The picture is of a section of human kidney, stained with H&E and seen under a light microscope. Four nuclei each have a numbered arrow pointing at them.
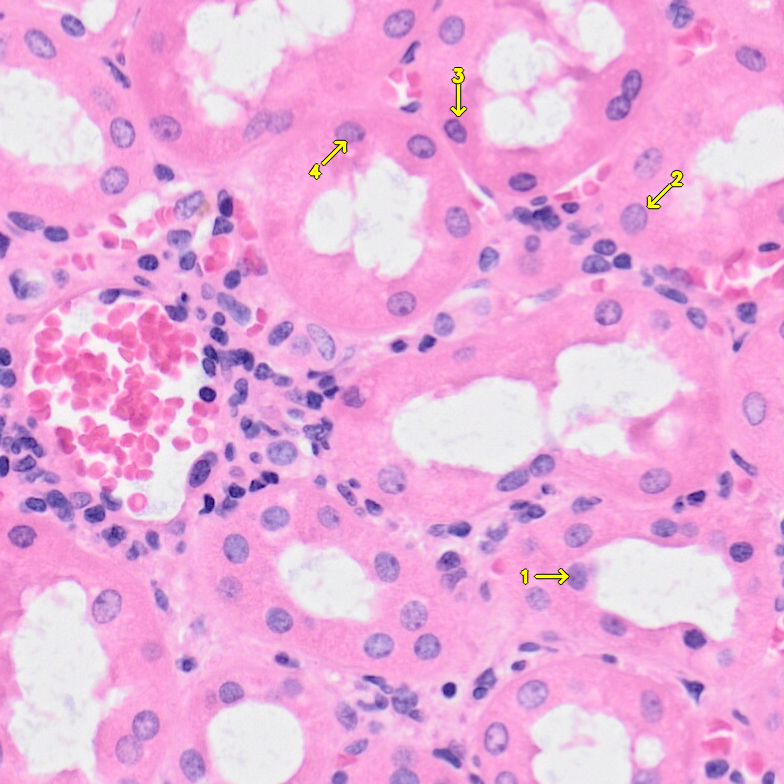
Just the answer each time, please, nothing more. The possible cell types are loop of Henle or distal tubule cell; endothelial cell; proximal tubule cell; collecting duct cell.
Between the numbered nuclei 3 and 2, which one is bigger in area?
2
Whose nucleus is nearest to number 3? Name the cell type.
proximal tubule cell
